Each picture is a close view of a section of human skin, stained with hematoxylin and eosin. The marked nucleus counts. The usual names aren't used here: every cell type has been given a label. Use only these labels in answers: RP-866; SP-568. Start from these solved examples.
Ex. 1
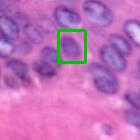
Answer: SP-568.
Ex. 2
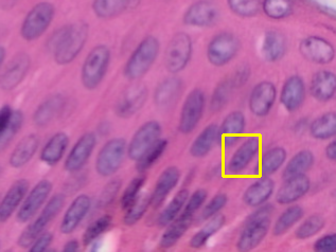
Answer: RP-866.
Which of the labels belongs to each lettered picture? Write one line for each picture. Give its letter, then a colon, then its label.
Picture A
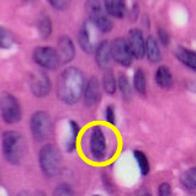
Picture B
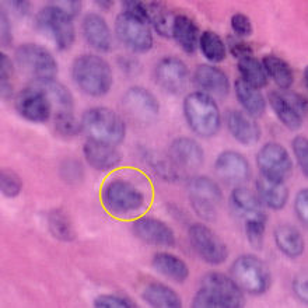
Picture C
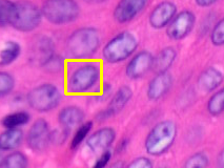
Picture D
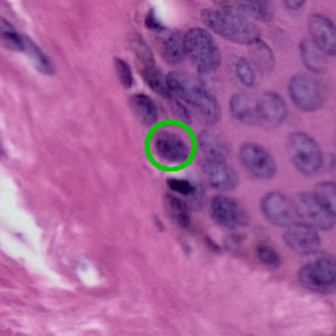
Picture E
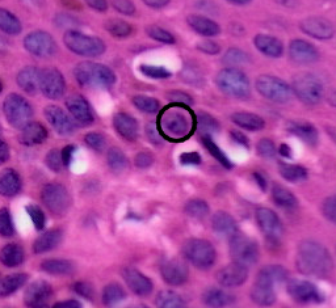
A: SP-568.
B: SP-568.
C: RP-866.
D: SP-568.
E: SP-568.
